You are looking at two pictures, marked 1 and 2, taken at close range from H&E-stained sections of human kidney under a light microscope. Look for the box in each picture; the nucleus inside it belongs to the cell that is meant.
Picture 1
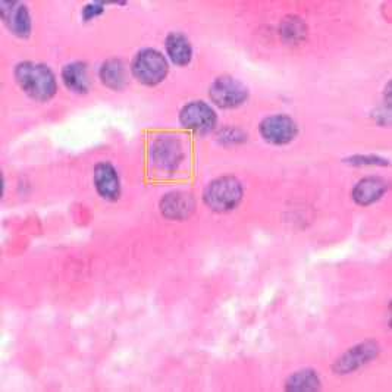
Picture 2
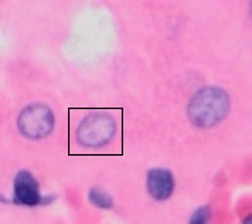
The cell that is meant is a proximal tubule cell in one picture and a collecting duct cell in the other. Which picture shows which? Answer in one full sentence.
It is picture 1 that shows a collecting duct cell, and picture 2 that shows a proximal tubule cell.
